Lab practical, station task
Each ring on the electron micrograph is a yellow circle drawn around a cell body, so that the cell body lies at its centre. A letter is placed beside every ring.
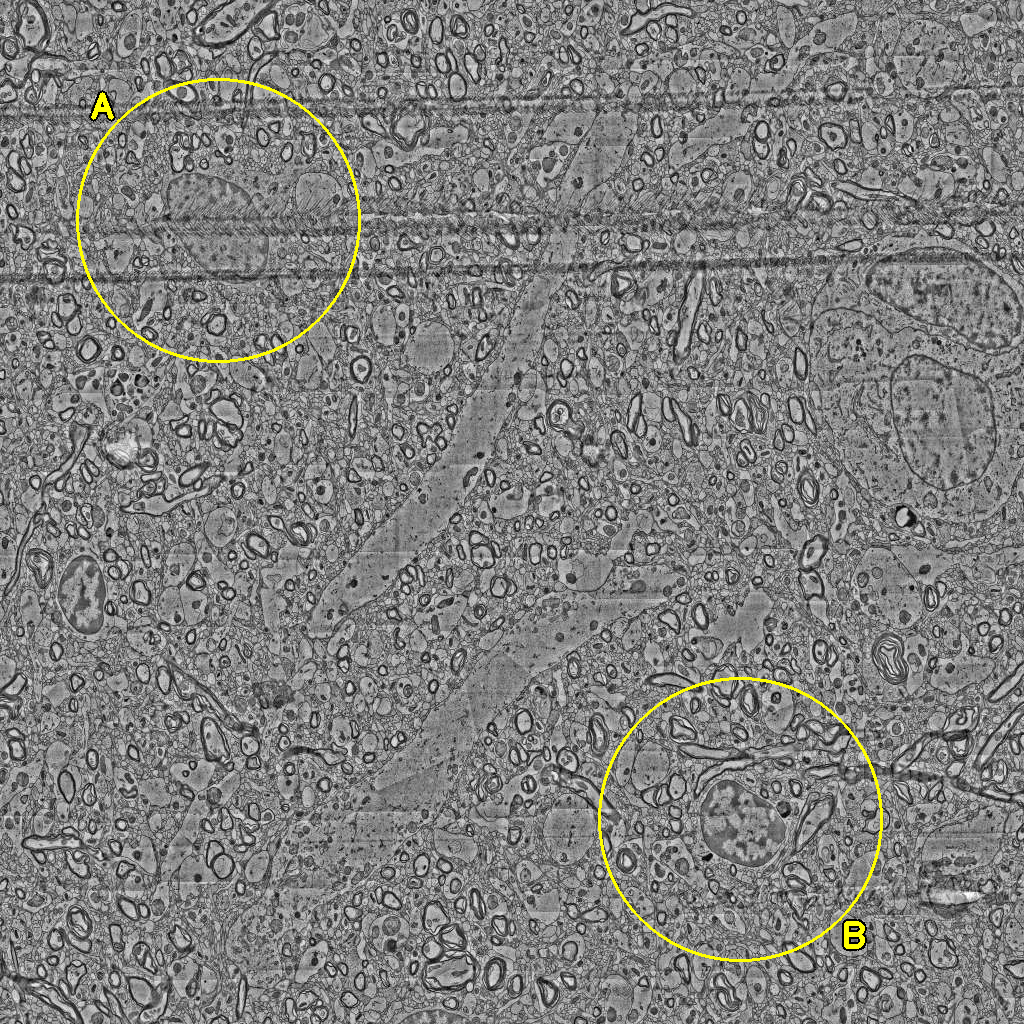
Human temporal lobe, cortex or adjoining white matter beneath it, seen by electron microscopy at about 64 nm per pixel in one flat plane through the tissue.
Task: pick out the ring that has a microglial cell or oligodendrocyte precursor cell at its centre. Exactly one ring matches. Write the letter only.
B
